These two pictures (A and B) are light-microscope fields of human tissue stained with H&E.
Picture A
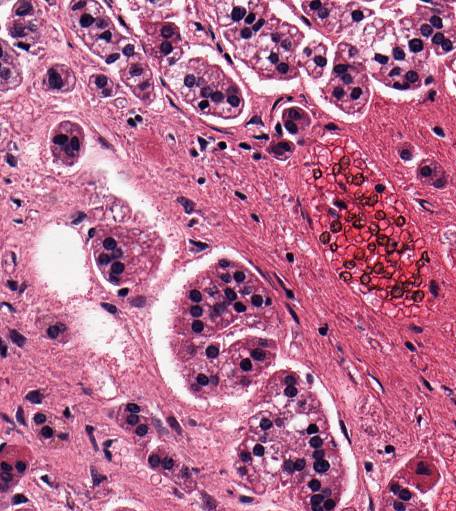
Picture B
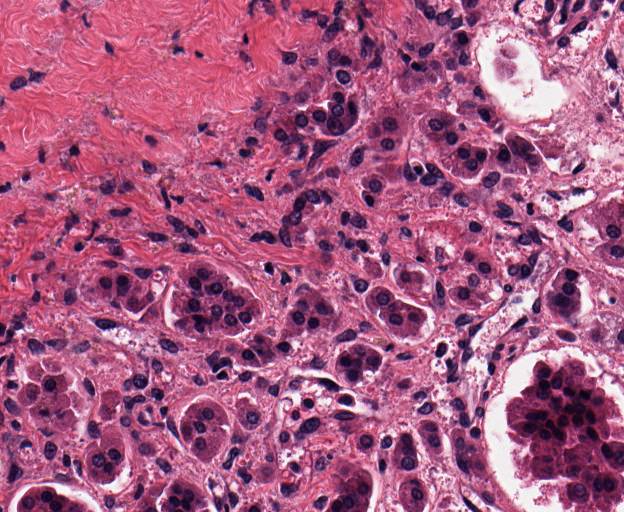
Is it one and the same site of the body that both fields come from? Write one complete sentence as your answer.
Yes, both come from the adrenal gland.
